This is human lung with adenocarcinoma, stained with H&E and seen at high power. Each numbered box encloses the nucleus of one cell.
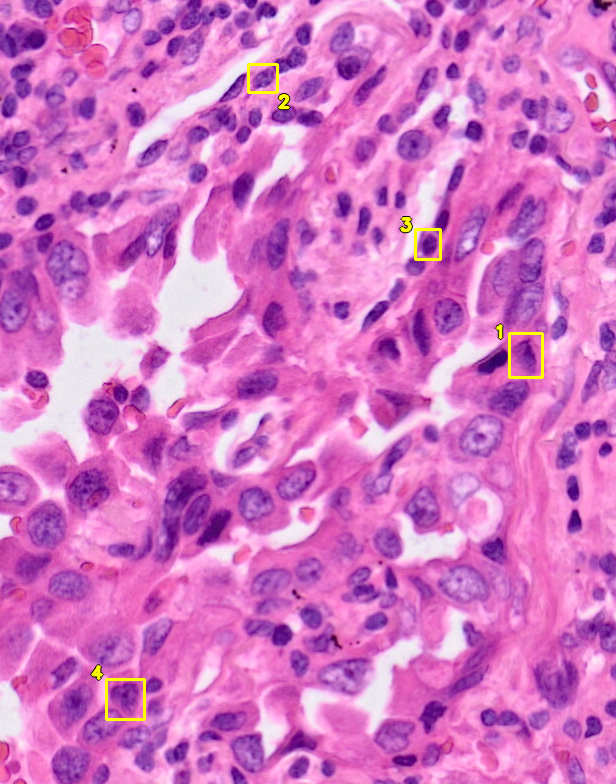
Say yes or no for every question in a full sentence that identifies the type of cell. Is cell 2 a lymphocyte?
Yes, the cell referred to as number 2 is a lymphocyte.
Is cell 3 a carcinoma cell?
No, the marked cell 3 is not a carcinoma cell, being instead a lymphocyte.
